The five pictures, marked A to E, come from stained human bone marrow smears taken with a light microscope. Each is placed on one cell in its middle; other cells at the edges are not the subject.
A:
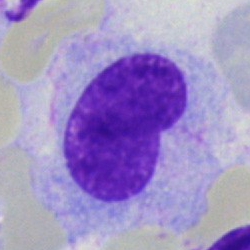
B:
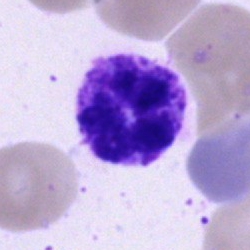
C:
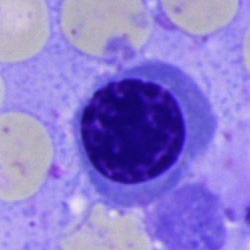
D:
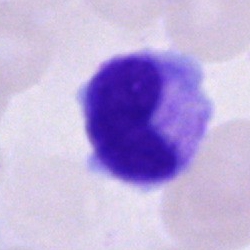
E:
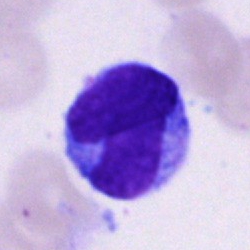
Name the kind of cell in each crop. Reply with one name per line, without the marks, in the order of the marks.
hairy cell
basophil
normoblast
metamyelocyte
monocyte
